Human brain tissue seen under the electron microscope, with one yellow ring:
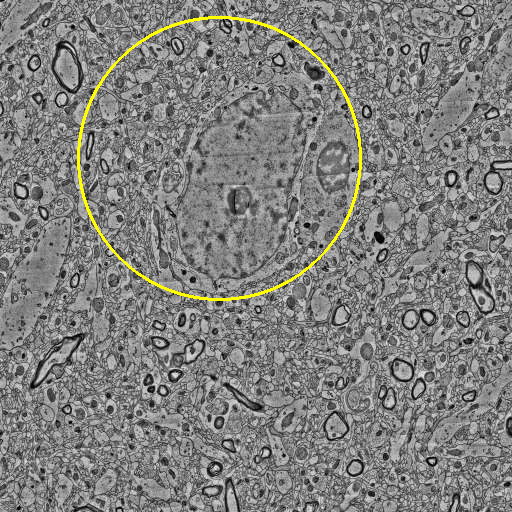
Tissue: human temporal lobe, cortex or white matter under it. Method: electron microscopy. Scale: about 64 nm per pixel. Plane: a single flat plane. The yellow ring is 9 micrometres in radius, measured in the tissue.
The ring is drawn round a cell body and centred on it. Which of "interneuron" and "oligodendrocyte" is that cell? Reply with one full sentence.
The picture shows an interneuron at the very centre of the yellow ring.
